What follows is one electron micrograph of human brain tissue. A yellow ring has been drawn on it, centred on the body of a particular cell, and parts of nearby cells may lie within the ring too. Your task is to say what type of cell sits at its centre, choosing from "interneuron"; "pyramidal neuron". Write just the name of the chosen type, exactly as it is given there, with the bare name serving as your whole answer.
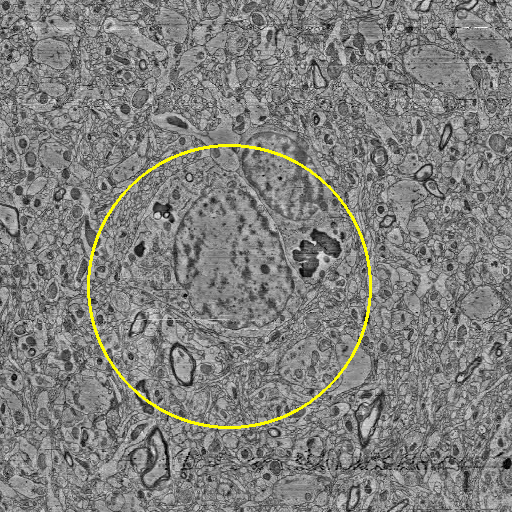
interneuron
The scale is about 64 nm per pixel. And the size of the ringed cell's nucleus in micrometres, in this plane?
The ringed cell's nucleus is about 9 micrometres long and 7 micrometres wide in this plane.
